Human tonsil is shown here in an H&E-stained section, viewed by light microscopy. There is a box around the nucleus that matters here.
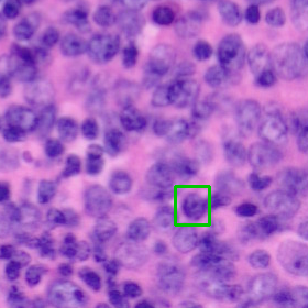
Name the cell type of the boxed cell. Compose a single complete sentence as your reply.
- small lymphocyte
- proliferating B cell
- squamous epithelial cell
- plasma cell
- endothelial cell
Labelled by cell type, the boxed cell is a proliferating B cell.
